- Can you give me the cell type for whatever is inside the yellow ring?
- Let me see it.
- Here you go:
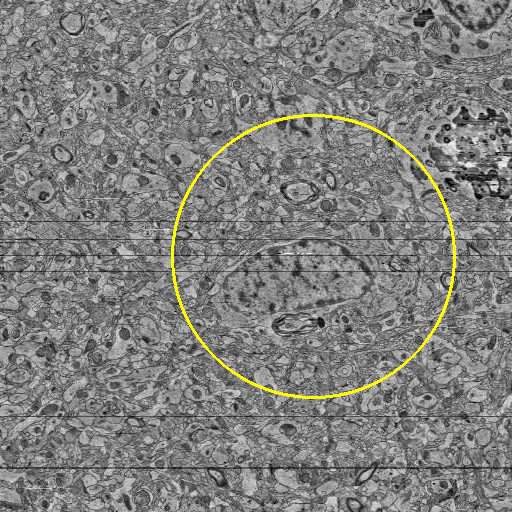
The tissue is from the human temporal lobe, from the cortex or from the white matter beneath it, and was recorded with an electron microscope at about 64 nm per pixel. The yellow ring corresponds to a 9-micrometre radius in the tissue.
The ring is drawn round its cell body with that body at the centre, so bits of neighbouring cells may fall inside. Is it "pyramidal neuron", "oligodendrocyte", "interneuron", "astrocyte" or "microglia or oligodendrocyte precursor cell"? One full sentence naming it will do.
The cell body in the middle of the ring in this picture belongs to a microglial cell or oligodendrocyte precursor cell.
